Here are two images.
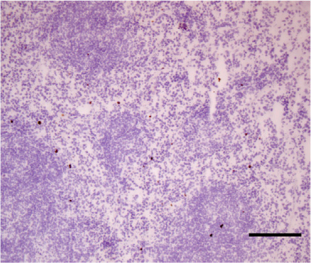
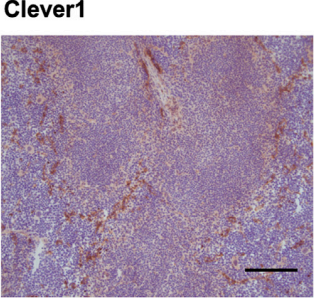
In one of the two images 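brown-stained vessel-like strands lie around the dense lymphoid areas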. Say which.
The second image.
